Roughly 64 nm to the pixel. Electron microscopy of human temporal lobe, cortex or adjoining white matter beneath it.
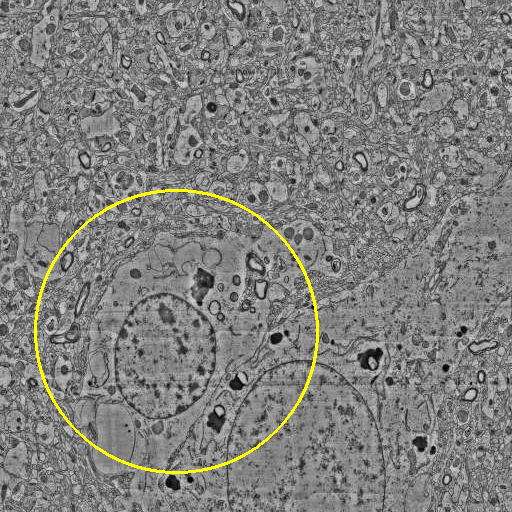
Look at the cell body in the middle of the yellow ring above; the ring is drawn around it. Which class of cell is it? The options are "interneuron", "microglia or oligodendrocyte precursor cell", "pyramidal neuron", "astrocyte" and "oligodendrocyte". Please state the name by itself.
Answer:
astrocyte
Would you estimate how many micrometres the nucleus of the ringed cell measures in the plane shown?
In this plane, about 8 micrometres in length and 6 in width.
